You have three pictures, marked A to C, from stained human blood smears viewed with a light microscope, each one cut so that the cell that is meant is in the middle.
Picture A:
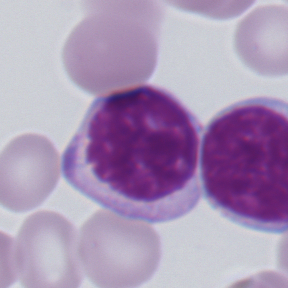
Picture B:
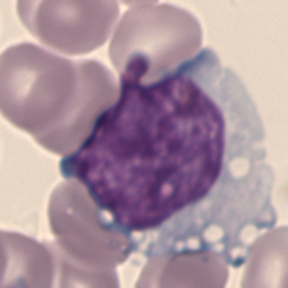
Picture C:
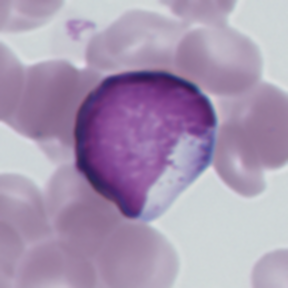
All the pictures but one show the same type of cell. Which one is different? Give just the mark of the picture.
B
